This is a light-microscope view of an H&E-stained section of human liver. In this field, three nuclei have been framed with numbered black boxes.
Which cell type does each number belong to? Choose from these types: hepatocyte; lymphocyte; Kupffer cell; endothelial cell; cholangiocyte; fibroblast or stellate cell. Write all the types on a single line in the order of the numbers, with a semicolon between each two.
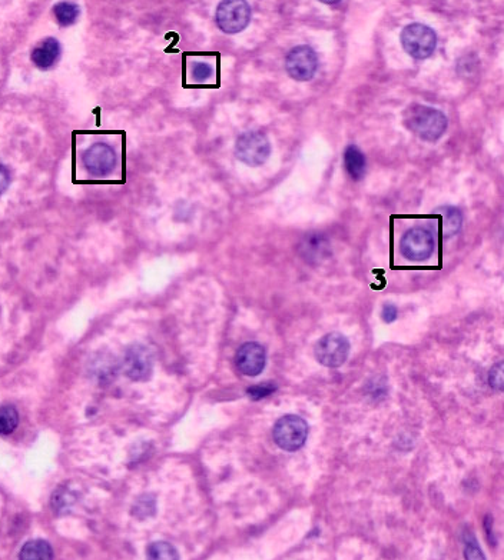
hepatocyte; lymphocyte; hepatocyte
